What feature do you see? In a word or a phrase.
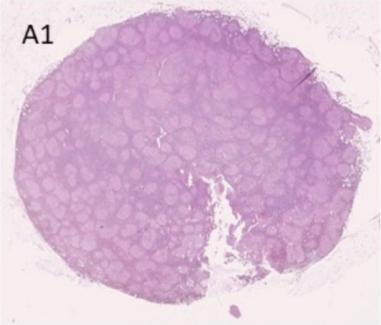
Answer: Neoplastic follicles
